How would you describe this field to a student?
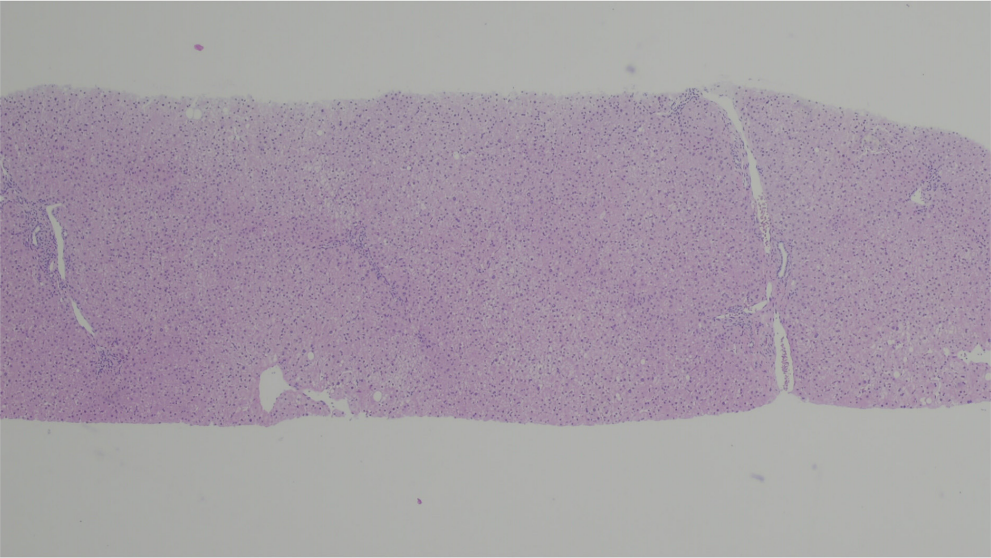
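This is a long core of liver at low magnification. It is made of uniform pink parenchyma of hepatocyte plates with evenly spread dark nuclei. Several portal tracts appear as small clusters of denser, bluish nuclei around thin-walled vessels and slit-like spaces, and they are not markedly expanded. Faint darker bands link some regions of the parenchyma. A few small, round clear spaces are scattered in the parenchyma, especially toward the right end. Apart from these, the lobular architecture looks preserved, without nodules or broad scars.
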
